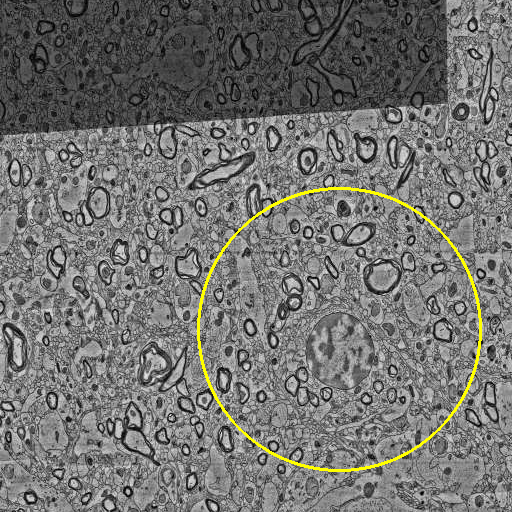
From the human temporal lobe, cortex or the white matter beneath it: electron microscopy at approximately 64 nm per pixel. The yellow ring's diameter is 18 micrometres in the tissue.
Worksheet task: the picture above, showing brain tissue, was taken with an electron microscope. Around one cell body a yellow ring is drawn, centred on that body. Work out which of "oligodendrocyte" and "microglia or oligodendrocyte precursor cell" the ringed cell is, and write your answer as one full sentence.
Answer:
It is a microglial cell or oligodendrocyte precursor cell whose cell body lies at the centre of the yellow ring.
